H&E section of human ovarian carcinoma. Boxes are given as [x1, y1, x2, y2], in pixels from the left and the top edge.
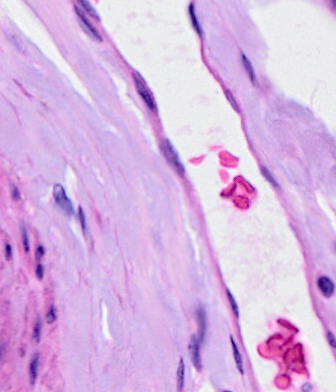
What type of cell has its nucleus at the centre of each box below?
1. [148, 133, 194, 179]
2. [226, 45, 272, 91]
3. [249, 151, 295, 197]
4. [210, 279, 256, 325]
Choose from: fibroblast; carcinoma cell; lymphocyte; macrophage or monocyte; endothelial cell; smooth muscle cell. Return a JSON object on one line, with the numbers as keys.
{"1": "endothelial cell", "2": "fibroblast", "3": "endothelial cell", "4": "endothelial cell"}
